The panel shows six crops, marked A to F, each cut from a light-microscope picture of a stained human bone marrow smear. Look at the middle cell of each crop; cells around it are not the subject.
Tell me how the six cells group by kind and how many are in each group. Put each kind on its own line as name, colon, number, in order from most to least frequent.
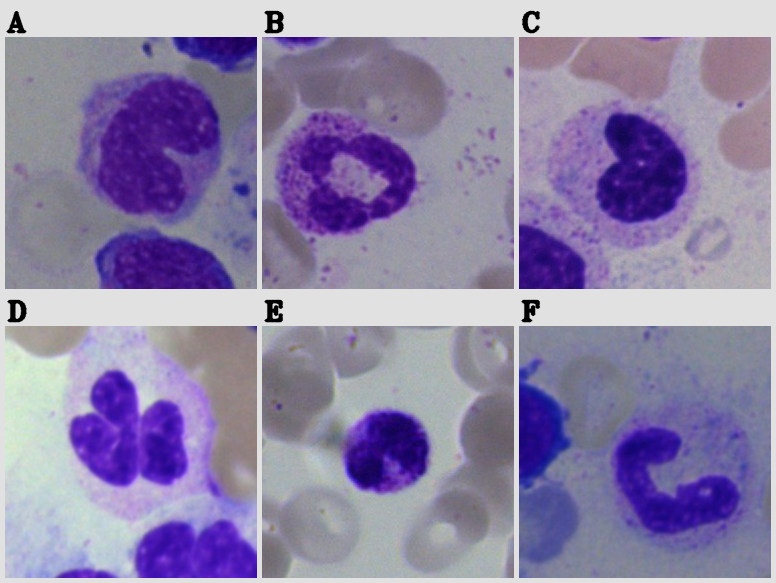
segmented neutrophil: 4
band neutrophil: 2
